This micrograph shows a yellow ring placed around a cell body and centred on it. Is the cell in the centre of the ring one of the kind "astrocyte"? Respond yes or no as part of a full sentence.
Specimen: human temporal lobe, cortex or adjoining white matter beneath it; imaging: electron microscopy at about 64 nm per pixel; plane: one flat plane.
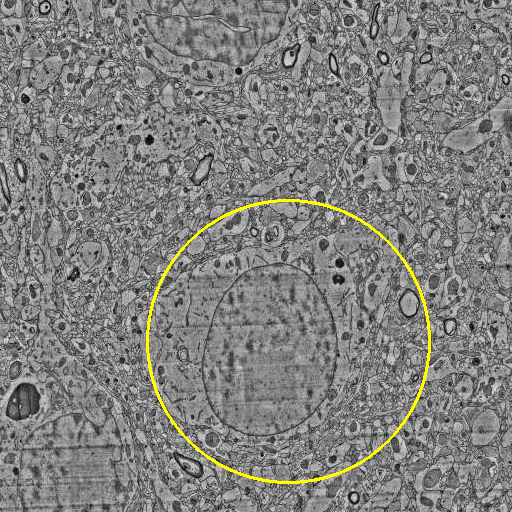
No, the cell in the centre of the ring within the picture belongs to another kind.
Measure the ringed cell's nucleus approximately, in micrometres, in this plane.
In this plane the nucleus measures roughly 11 by 9 micrometers.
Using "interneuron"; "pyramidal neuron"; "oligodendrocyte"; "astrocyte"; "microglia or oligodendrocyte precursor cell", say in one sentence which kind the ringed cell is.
It is a pyramidal neuron that the ring is centred on.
